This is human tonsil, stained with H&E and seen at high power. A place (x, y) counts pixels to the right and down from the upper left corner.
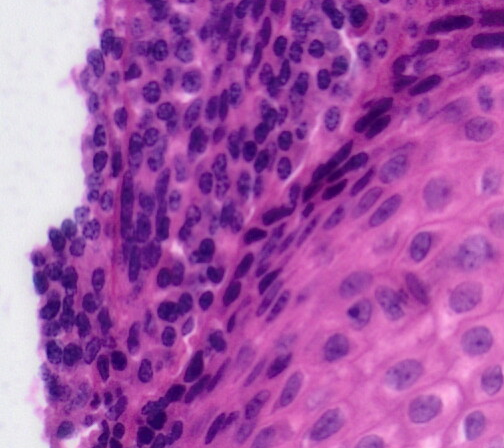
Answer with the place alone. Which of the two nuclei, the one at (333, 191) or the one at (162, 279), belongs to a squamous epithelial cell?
(333, 191)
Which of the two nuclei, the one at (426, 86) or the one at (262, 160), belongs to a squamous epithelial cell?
(426, 86)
